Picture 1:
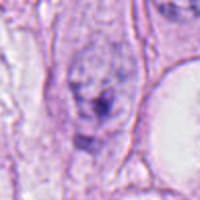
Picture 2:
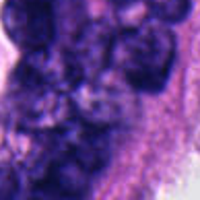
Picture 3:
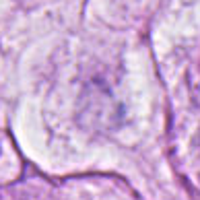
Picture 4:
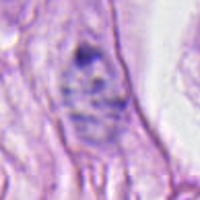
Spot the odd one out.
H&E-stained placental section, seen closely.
Picture 2 (a syncytial knot among maternal decidual cells).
